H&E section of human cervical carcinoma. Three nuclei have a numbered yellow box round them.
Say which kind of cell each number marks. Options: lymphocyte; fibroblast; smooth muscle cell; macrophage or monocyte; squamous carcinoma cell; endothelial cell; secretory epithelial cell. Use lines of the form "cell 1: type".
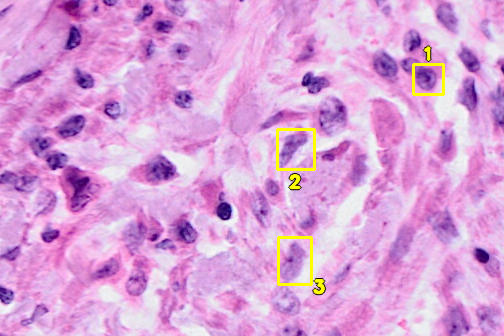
cell 1: macrophage or monocyte
cell 2: fibroblast
cell 3: fibroblast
